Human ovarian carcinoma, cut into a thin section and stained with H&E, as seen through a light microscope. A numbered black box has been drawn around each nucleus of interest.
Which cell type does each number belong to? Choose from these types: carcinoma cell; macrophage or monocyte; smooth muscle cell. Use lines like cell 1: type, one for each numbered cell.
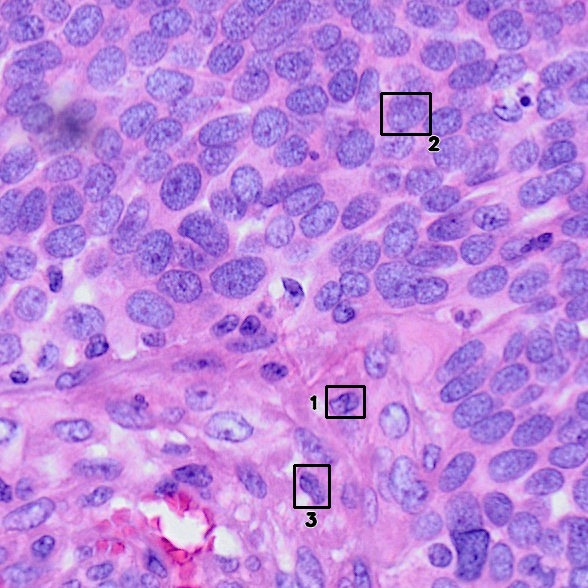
cell 1: macrophage or monocyte
cell 2: carcinoma cell
cell 3: macrophage or monocyte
